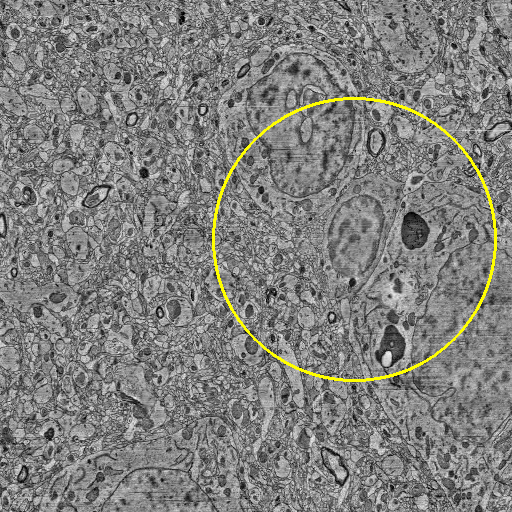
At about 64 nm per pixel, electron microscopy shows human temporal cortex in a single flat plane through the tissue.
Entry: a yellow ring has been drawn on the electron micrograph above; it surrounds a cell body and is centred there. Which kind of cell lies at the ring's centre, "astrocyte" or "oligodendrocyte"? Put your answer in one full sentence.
The cell sitting at the ring's centre is an oligodendrocyte in the micrograph above.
